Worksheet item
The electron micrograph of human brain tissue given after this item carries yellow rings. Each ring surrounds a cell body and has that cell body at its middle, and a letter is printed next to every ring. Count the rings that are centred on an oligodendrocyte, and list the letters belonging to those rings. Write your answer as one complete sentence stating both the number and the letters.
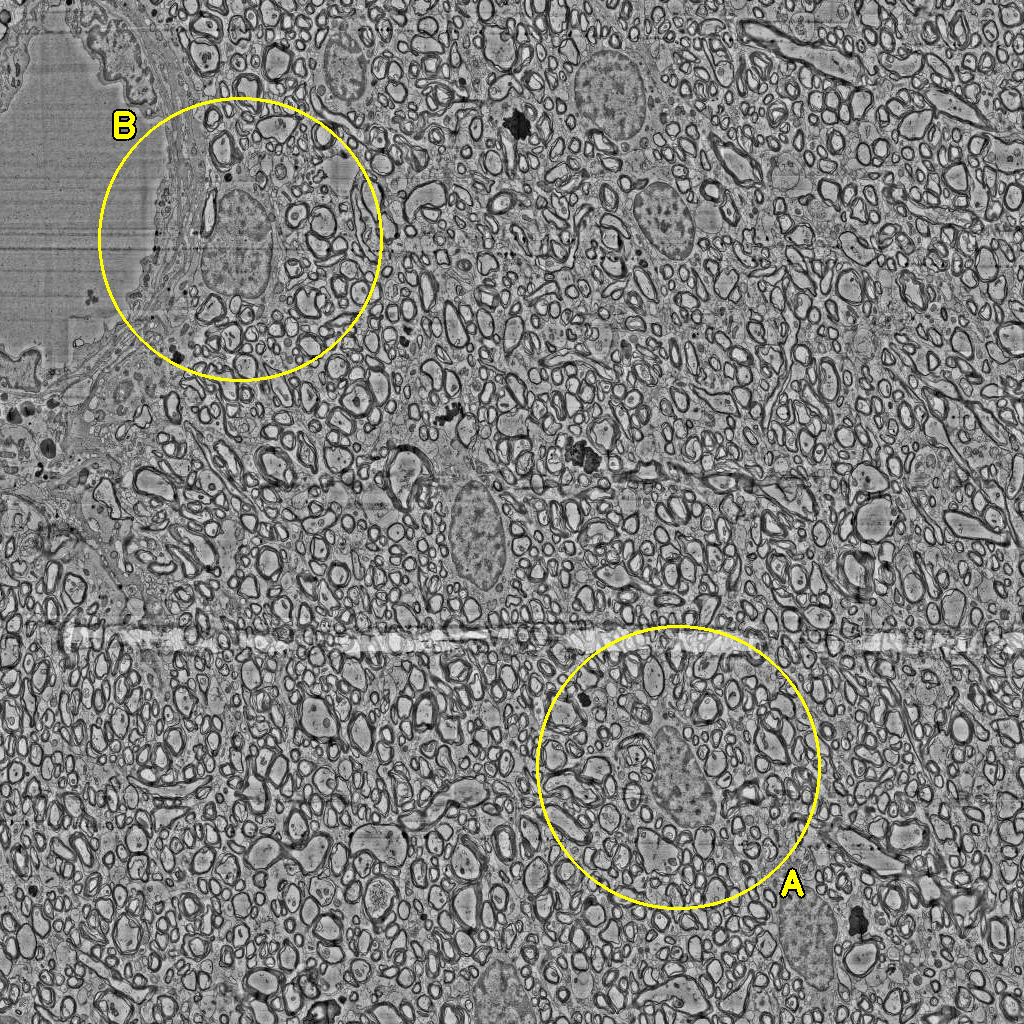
Marked by the letters A and B, two rings are each centred on an oligodendrocyte.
